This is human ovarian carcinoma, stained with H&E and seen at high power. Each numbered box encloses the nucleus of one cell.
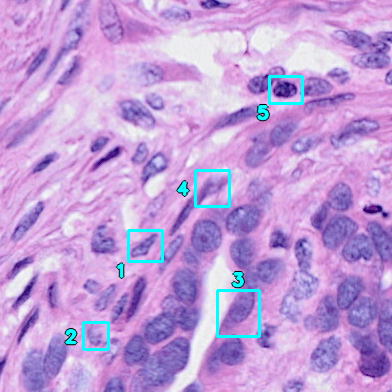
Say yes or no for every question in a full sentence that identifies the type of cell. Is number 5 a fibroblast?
No, the cell at number 5 is a lymphocyte instead of a fibroblast.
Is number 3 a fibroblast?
No, that is wrong: cell 3 is a carcinoma cell, and not a fibroblast.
